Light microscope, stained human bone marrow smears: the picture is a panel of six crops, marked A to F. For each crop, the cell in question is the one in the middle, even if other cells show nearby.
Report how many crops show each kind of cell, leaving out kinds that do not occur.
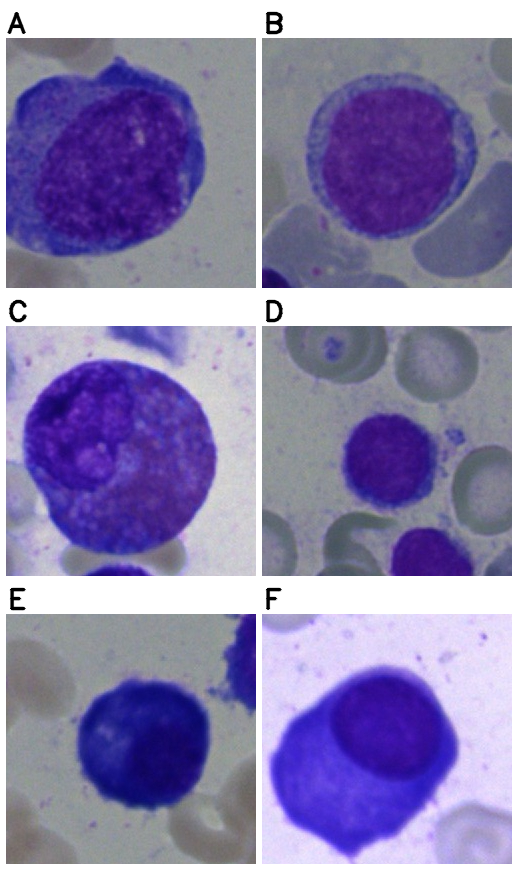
blast: 2
plasma cell: 2
eosinophil: 1
lymphocyte: 1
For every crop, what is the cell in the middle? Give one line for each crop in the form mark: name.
A: blast
B: blast
C: eosinophil
D: lymphocyte
E: plasma cell
F: plasma cell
